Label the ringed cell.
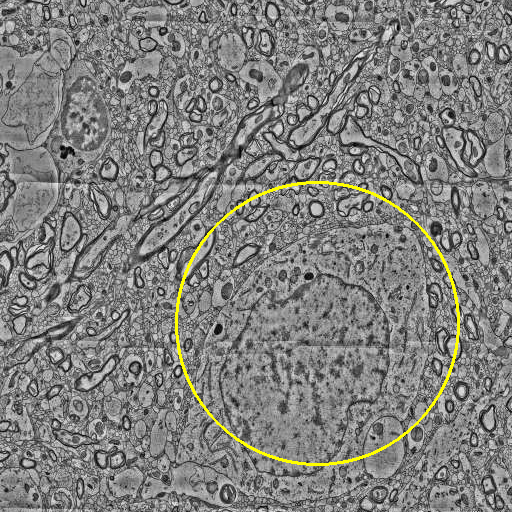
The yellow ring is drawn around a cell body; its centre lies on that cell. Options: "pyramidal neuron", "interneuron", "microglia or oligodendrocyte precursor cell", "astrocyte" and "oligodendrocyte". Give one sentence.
The ringed cell is an interneuron.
